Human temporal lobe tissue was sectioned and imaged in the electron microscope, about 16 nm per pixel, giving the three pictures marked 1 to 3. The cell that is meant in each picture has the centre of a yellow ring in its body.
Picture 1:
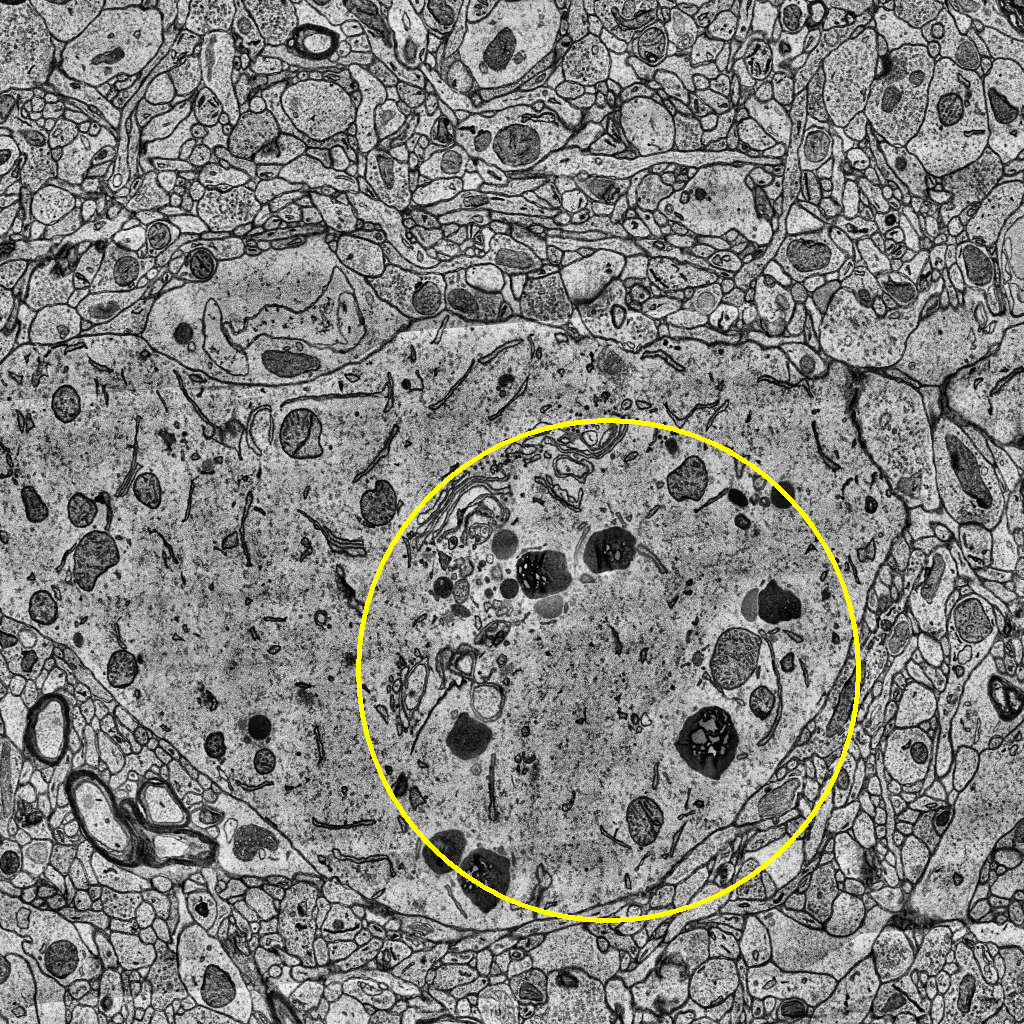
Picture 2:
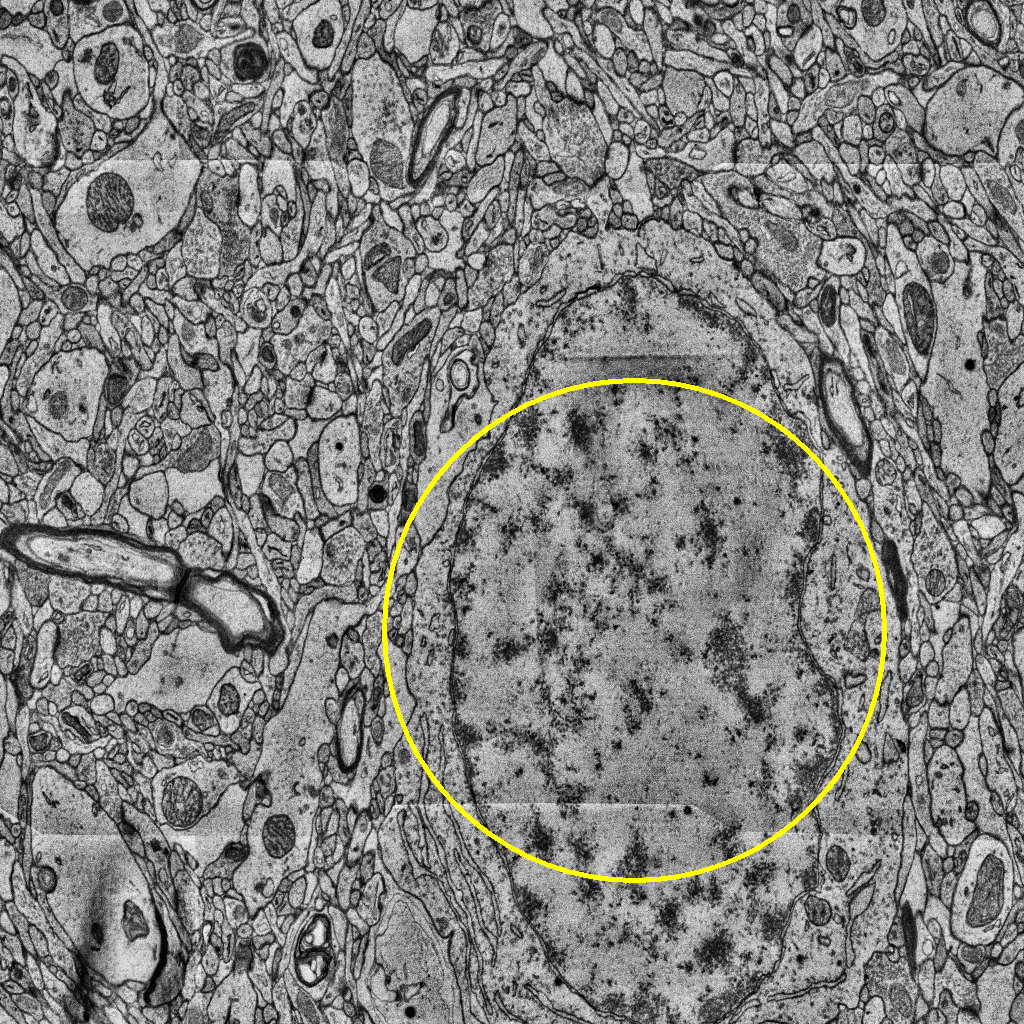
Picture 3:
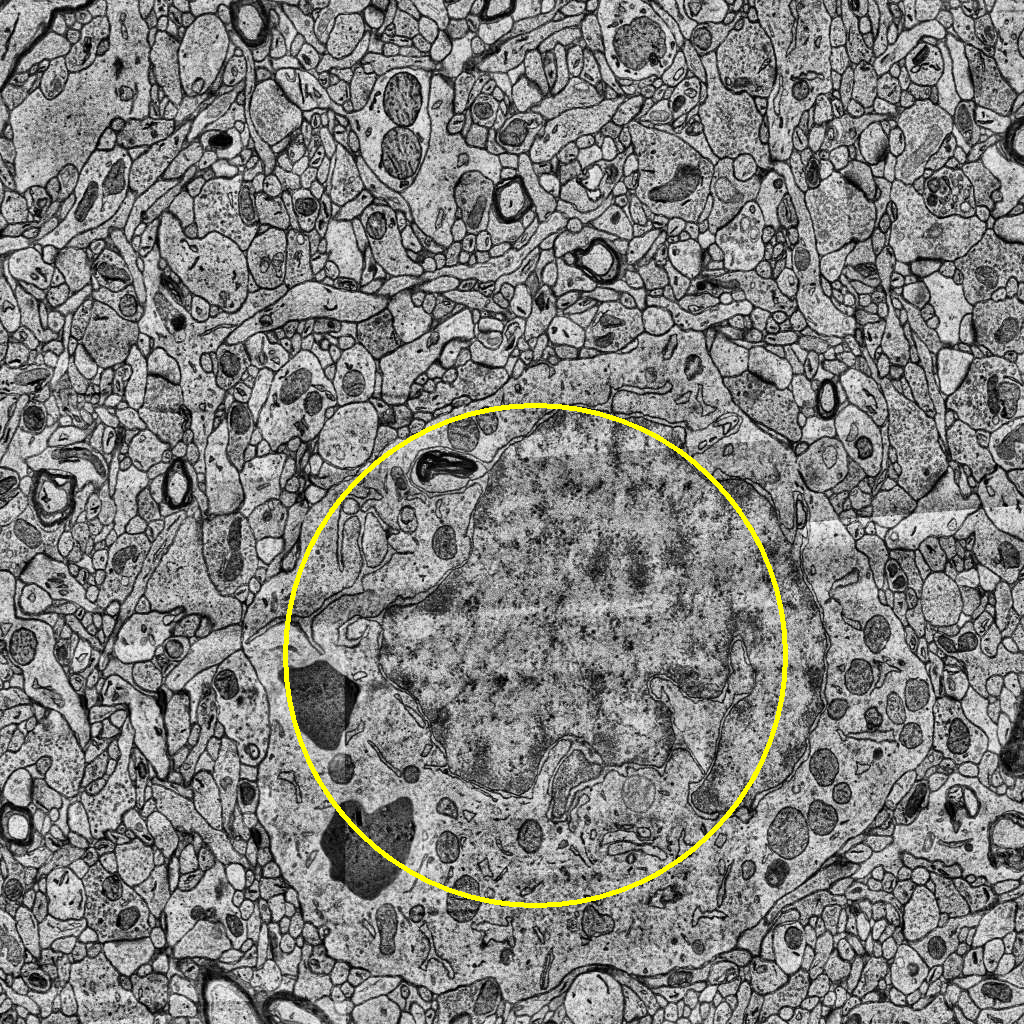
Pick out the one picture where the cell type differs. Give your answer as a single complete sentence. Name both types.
Unlike the rest, which show interneurons, picture 1 shows a pyramidal neuron.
